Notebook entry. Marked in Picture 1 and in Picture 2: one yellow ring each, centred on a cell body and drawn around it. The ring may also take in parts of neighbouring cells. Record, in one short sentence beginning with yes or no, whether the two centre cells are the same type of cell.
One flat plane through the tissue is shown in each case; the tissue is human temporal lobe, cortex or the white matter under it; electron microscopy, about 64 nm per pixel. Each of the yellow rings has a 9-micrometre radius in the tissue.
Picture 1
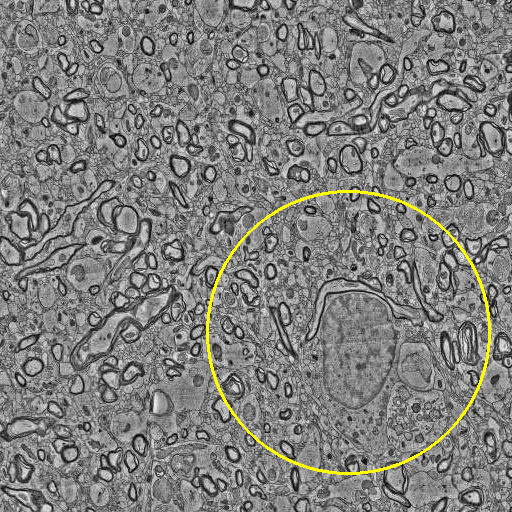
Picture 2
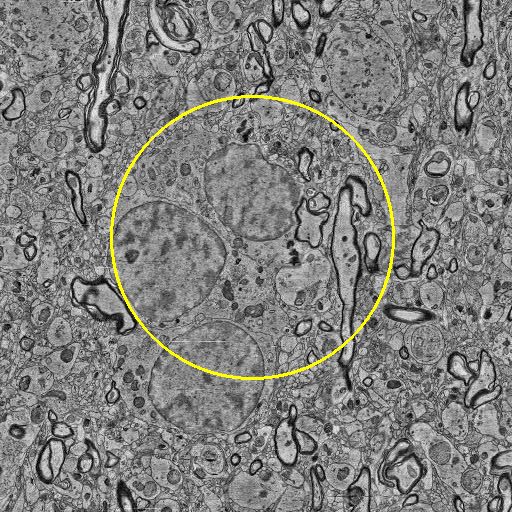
Yes, both are the same type of cell.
